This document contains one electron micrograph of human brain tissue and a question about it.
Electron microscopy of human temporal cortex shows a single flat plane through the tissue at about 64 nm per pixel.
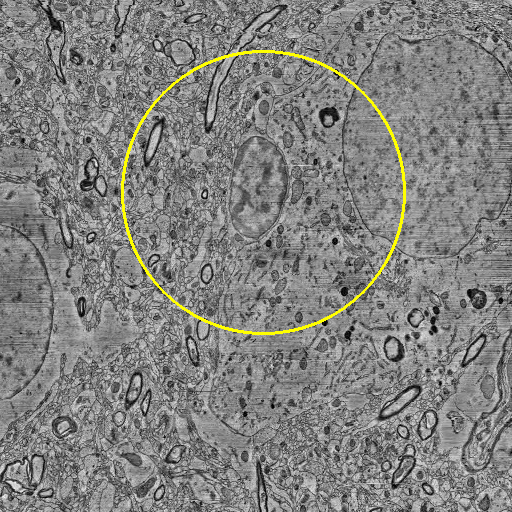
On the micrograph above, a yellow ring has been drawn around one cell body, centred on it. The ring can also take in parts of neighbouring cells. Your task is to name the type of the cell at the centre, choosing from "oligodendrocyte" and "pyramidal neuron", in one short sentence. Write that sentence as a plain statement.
Here the ring is centred on an oligodendrocyte.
